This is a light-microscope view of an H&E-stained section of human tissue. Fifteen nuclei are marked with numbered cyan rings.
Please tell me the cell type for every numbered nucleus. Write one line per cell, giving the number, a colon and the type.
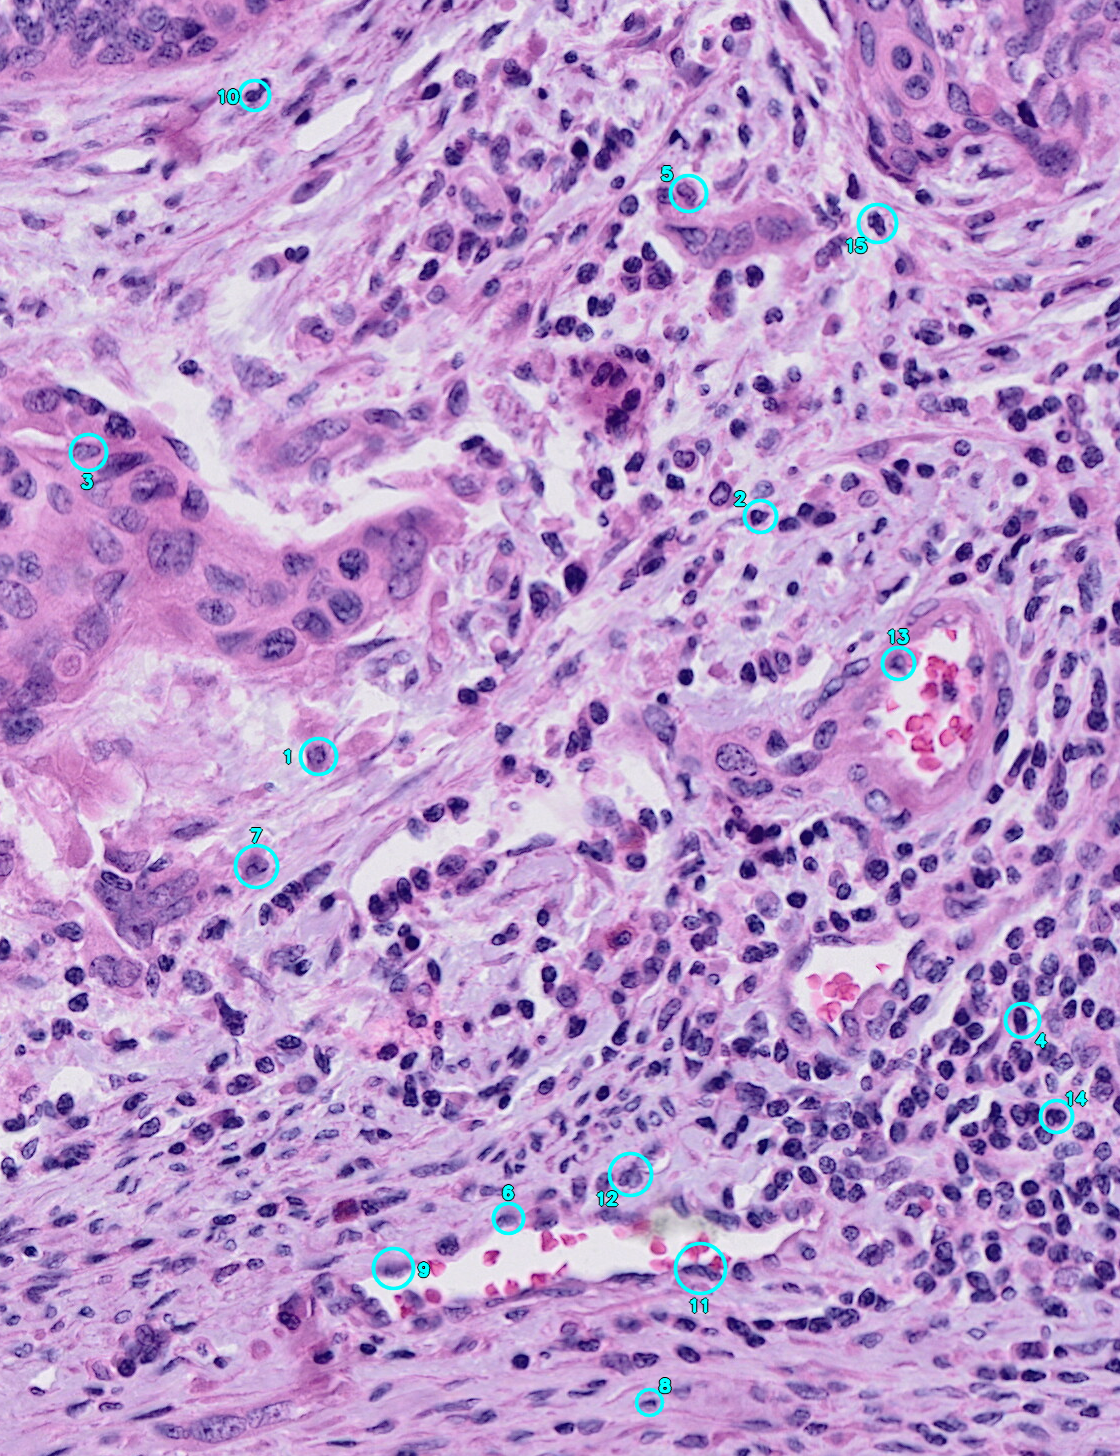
1: macrophage or monocyte
2: lymphocyte
3: squamous carcinoma cell
4: lymphocyte
5: macrophage or monocyte
6: endothelial cell
7: macrophage or monocyte
8: smooth muscle cell
9: endothelial cell
10: lymphocyte
11: endothelial cell
12: macrophage or monocyte
13: endothelial cell
14: lymphocyte
15: lymphocyte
